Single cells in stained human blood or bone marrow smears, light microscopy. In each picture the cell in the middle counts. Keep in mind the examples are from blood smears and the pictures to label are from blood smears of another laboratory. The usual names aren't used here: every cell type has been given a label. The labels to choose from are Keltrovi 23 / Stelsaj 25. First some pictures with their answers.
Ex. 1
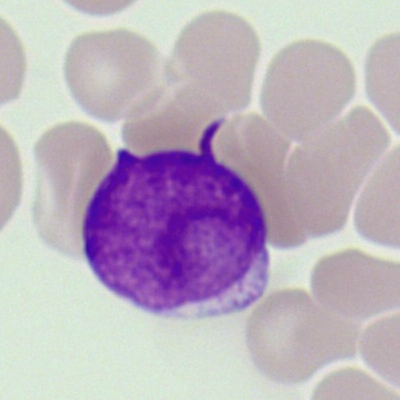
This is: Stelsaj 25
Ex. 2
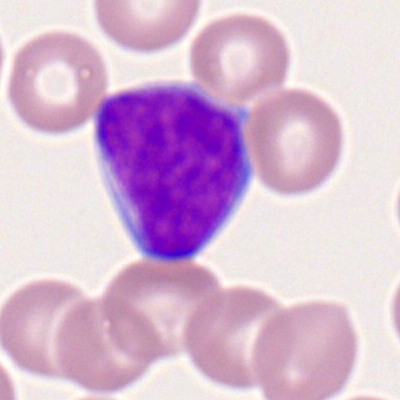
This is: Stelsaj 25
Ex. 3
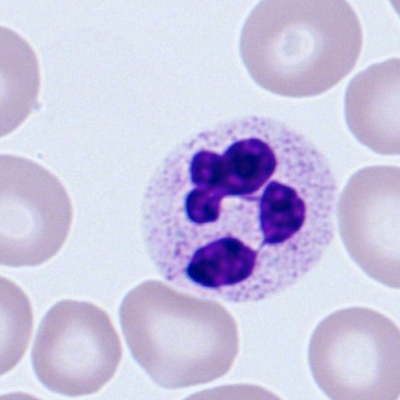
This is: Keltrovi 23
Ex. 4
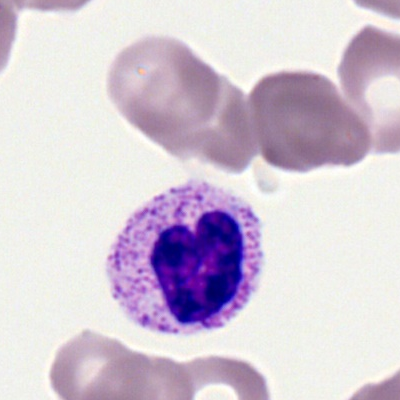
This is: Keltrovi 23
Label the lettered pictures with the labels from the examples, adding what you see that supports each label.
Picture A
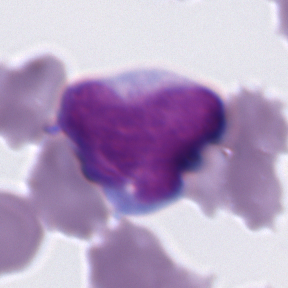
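Stelsaj 25. Evidence: The nucleus fills most of the cell.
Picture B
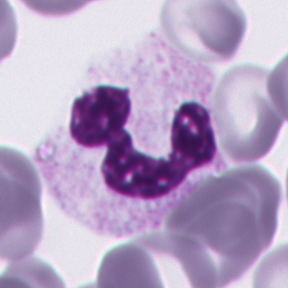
Keltrovi 23. Evidence: The nucleus is bent into a U shape that opens upward.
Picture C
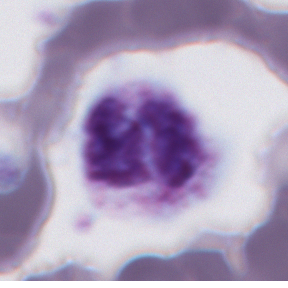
Keltrovi 23. Evidence: A vertical cleft divides the nucleus into two lobes.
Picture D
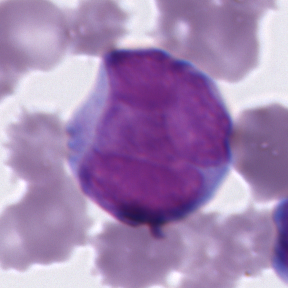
Stelsaj 25. Evidence: The cytoplasm forms a narrow rim that is widest on the left side.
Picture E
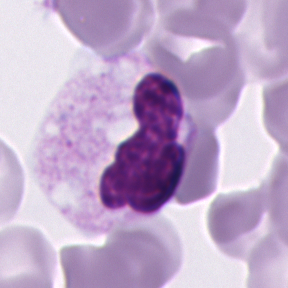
Keltrovi 23. Evidence: The cytoplasm is abundant, taking up more of the cell than the nucleus does.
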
